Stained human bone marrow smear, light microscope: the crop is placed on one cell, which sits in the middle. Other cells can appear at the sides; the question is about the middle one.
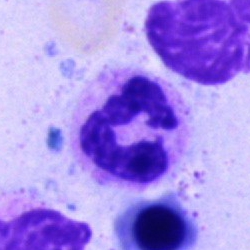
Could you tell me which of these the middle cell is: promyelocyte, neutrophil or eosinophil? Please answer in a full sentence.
For this crop, the central cell is a neutrophil.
